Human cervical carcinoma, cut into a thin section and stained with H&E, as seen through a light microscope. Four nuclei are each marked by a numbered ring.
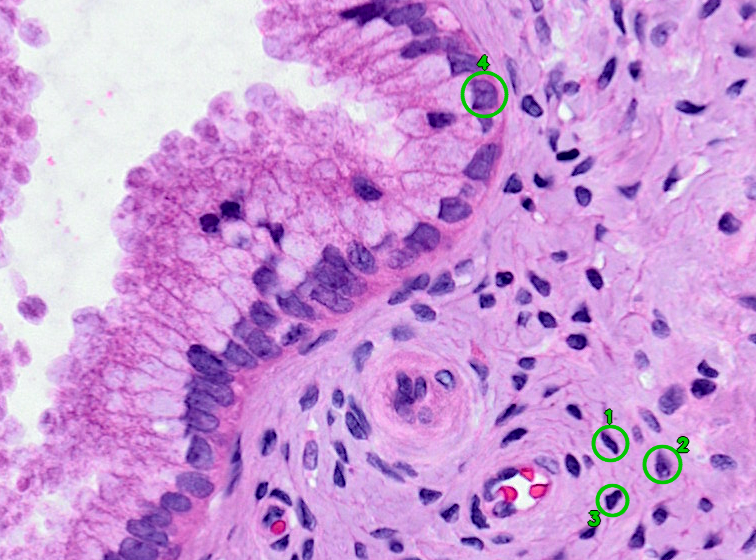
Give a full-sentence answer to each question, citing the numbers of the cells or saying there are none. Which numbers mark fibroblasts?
To be specific, the cells numbered 1, 2 and 3 are fibroblasts.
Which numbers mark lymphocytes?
Across all the numbered cells, no lymphocytes are present.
